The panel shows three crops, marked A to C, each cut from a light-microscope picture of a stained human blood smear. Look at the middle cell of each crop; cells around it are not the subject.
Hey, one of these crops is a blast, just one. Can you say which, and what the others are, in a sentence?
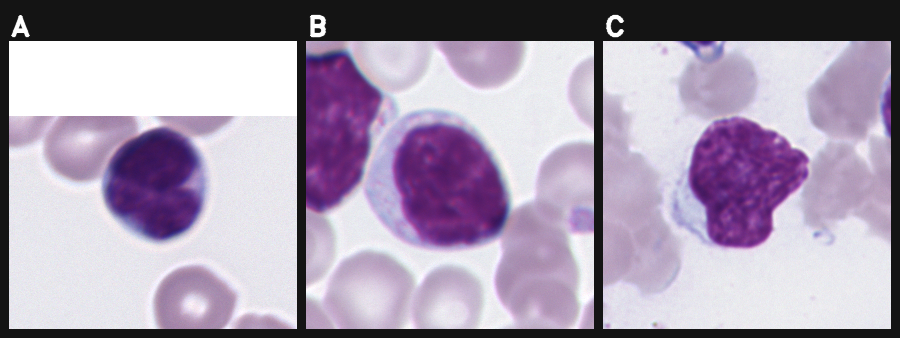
Sorting them out, crop C is a blast, while crop A is a typical lymphocyte and crop B is a large granular lymphocyte.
